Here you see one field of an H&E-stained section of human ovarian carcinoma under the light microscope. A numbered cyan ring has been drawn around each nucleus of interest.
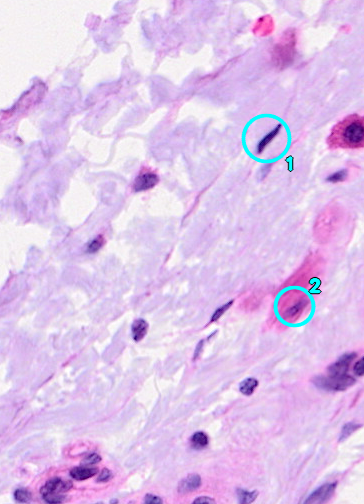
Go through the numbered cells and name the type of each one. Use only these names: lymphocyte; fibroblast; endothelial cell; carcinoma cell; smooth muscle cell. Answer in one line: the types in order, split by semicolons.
fibroblast; smooth muscle cell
